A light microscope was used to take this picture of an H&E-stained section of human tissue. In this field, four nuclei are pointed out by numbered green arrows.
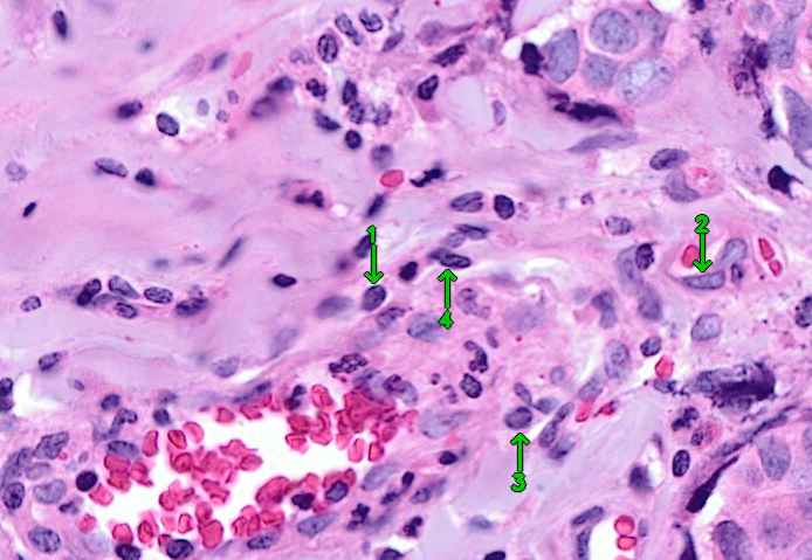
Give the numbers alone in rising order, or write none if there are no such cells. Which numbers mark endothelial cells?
2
